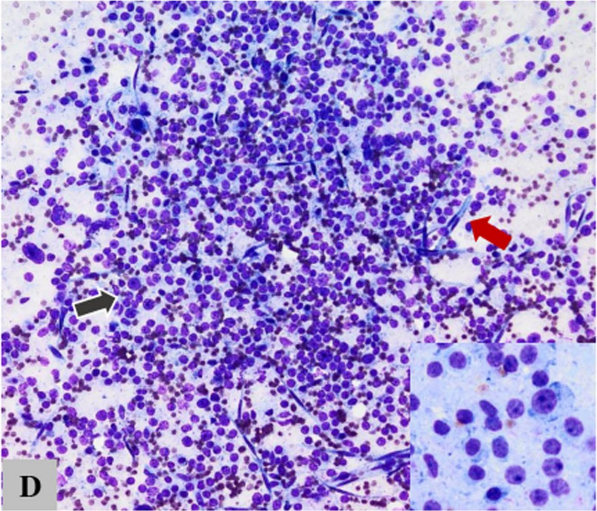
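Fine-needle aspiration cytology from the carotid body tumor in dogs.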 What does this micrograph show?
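This is a dense, highly cellular aspirate in which sheets and loose clusters of tumour cells crowd the centre of the field. The cells have round to oval, deep purple nuclei with only scant, pale blue cytoplasm, and many appear as nearly bare nuclei. Thin, elongated blue streaks run through the cell mass. Toward the edges the cells thin out and scatter over a pale background. The enlarged inset shows nuclei of clearly differing sizes and somewhat varied shapes.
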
